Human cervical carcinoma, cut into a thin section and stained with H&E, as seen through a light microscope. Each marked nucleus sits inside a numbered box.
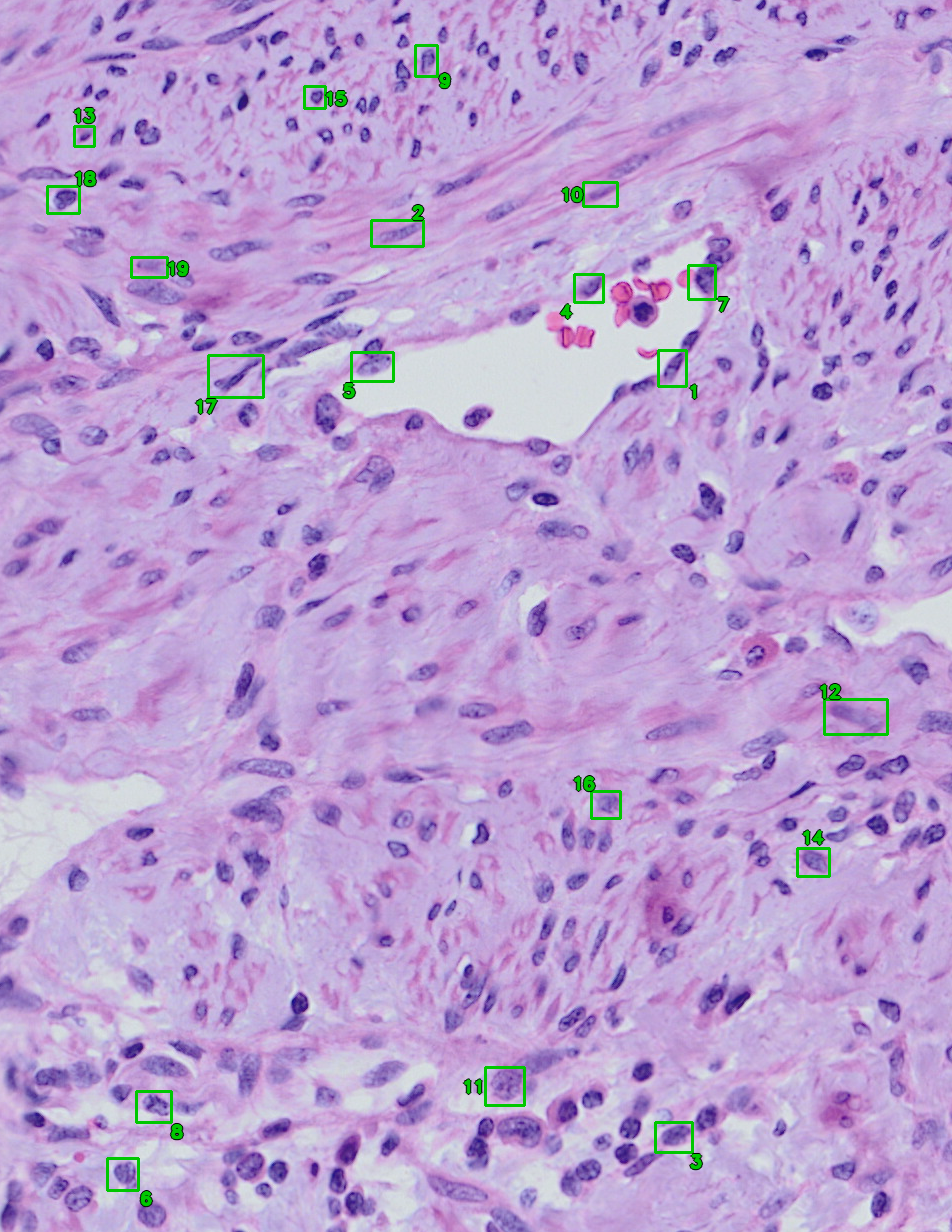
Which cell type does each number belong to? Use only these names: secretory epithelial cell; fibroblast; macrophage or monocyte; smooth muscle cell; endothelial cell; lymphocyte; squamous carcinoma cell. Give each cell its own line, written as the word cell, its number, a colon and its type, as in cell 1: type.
cell 1: endothelial cell
cell 2: smooth muscle cell
cell 3: lymphocyte
cell 4: endothelial cell
cell 5: endothelial cell
cell 6: lymphocyte
cell 7: endothelial cell
cell 8: lymphocyte
cell 9: smooth muscle cell
cell 10: smooth muscle cell
cell 11: macrophage or monocyte
cell 12: smooth muscle cell
cell 13: smooth muscle cell
cell 14: smooth muscle cell
cell 15: smooth muscle cell
cell 16: smooth muscle cell
cell 17: fibroblast
cell 18: lymphocyte
cell 19: smooth muscle cell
